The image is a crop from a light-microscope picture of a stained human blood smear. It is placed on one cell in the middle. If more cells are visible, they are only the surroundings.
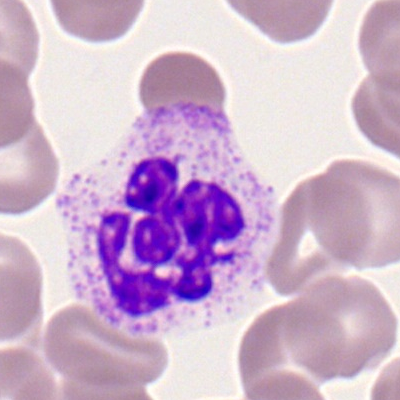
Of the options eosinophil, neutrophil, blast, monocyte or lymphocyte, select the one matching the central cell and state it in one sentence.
The cell the crop is centered on is a neutrophil.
